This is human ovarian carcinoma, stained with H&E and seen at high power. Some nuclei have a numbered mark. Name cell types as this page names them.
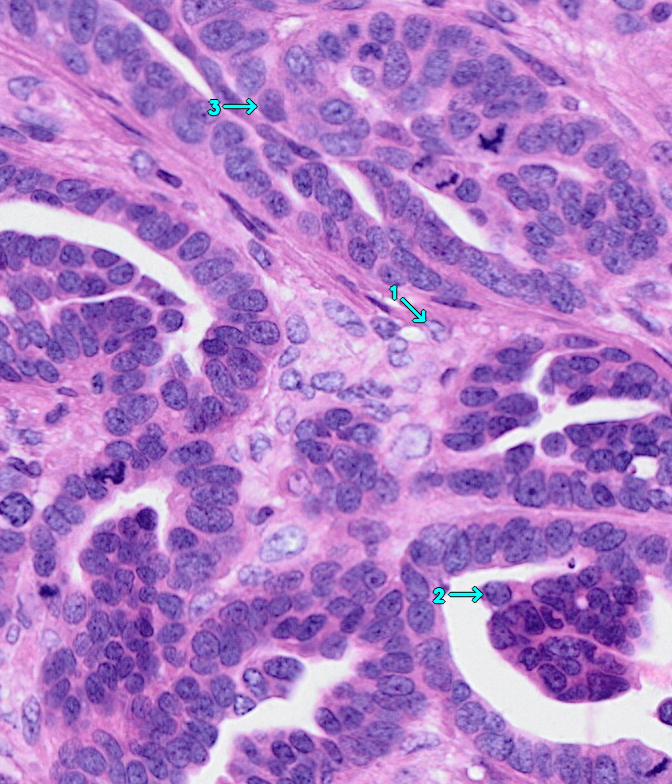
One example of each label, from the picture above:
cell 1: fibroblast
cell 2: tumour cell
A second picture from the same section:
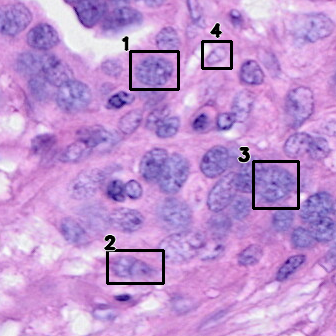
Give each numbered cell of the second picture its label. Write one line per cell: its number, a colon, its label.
1: tumour cell
2: fibroblast
3: tumour cell
4: fibroblast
